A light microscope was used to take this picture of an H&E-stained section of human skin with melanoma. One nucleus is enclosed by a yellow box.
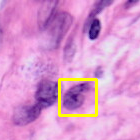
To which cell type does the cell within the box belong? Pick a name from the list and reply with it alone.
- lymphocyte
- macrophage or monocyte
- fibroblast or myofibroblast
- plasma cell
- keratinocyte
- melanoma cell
macrophage or monocyte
